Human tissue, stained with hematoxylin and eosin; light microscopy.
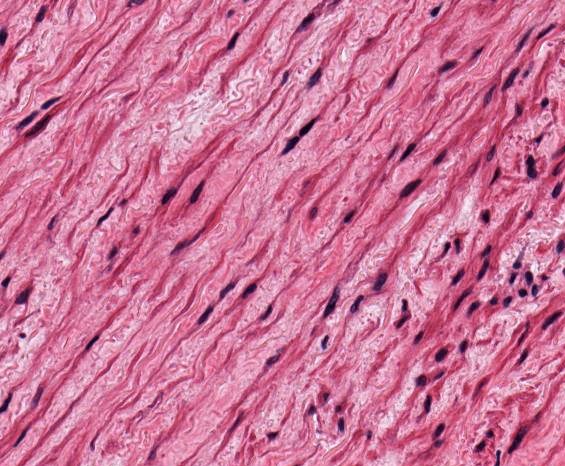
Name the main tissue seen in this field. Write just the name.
tunica media of an artery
